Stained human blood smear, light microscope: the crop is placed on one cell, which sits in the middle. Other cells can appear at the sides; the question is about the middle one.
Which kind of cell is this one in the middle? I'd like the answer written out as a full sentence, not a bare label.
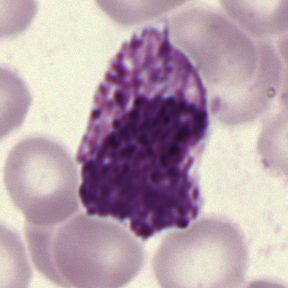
The cell at the heart of this crop is a basophil.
